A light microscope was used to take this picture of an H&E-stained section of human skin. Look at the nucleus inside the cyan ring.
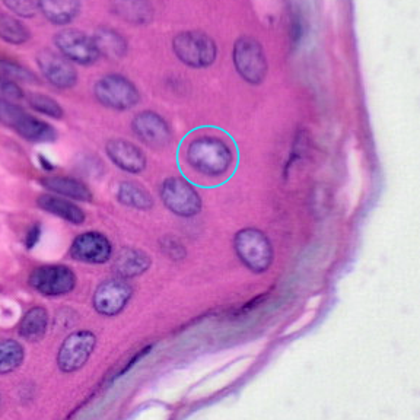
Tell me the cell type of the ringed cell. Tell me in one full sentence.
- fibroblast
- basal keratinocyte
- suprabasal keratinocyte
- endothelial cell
It is a suprabasal keratinocyte that the ringed cell represents.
